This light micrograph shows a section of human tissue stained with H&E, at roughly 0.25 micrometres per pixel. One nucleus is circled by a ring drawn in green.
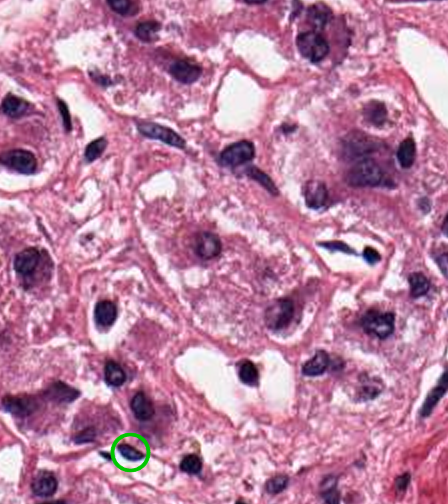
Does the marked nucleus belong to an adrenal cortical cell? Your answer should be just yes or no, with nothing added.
no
